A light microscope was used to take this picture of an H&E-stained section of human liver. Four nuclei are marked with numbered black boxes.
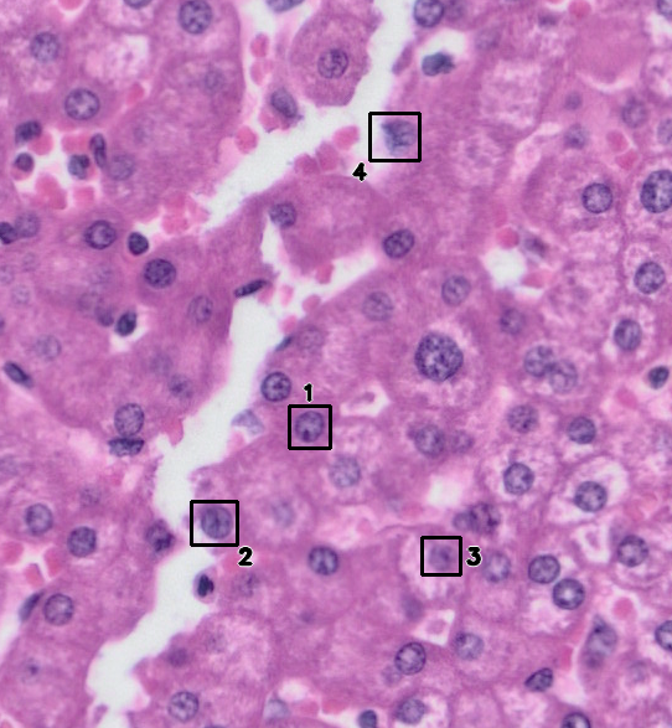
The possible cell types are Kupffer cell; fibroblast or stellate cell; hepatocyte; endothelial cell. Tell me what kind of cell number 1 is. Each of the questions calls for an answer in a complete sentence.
The expected answer is that cell 1 is a hepatocyte.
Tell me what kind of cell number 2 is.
The cell to which the number 2 is assigned is a hepatocyte.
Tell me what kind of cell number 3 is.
The cell that is numbered 3 is a hepatocyte.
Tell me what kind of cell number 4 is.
The cell assigned the number 4 is an endothelial cell.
